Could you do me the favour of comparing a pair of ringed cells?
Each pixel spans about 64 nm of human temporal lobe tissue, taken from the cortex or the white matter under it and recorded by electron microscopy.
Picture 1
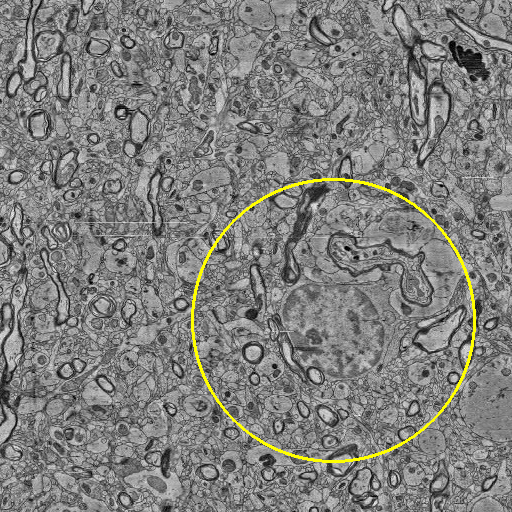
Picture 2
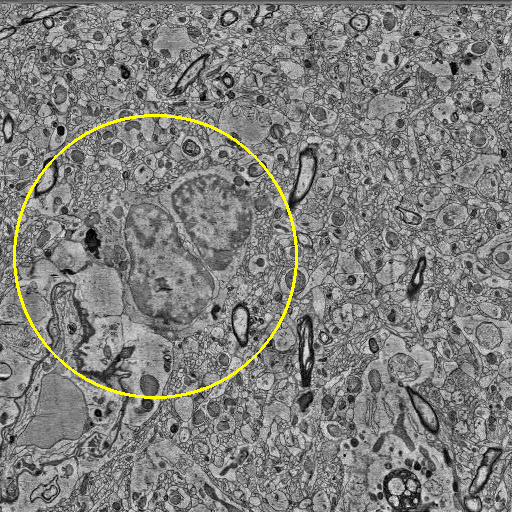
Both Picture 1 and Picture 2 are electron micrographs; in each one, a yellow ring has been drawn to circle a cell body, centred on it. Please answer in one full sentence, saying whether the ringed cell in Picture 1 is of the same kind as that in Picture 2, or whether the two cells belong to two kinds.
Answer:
The ringed cell in Picture 1 is of the same kind as that in Picture 2.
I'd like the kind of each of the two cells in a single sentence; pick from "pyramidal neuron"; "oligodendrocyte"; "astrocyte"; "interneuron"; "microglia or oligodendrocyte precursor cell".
In each picture the ringed cell is an oligodendrocyte.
